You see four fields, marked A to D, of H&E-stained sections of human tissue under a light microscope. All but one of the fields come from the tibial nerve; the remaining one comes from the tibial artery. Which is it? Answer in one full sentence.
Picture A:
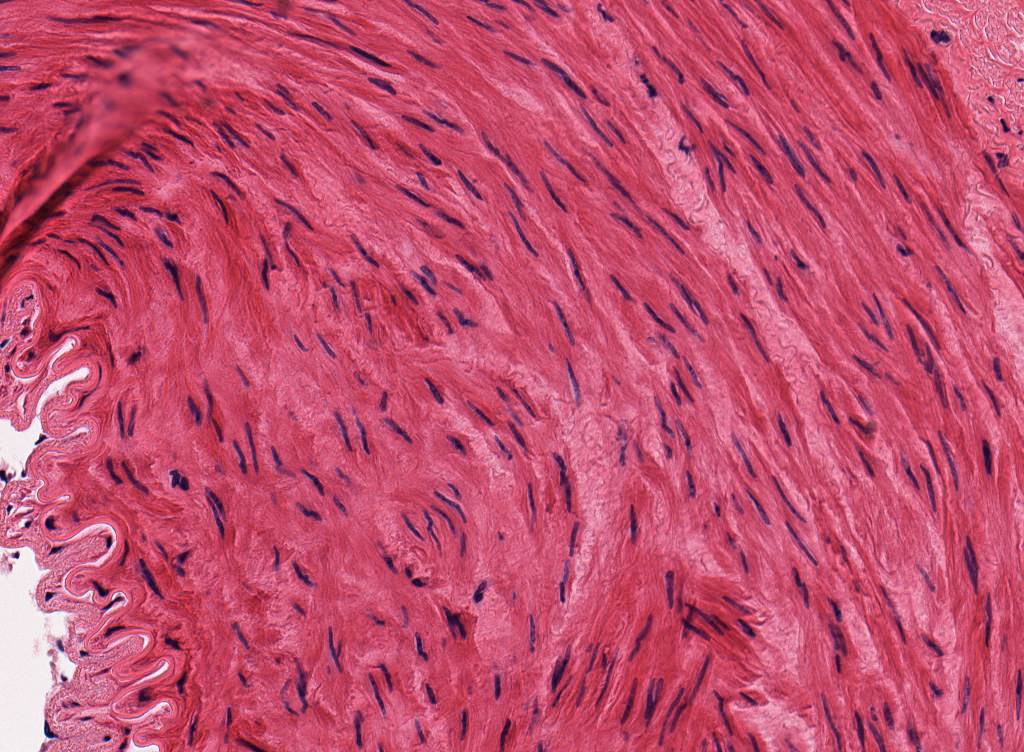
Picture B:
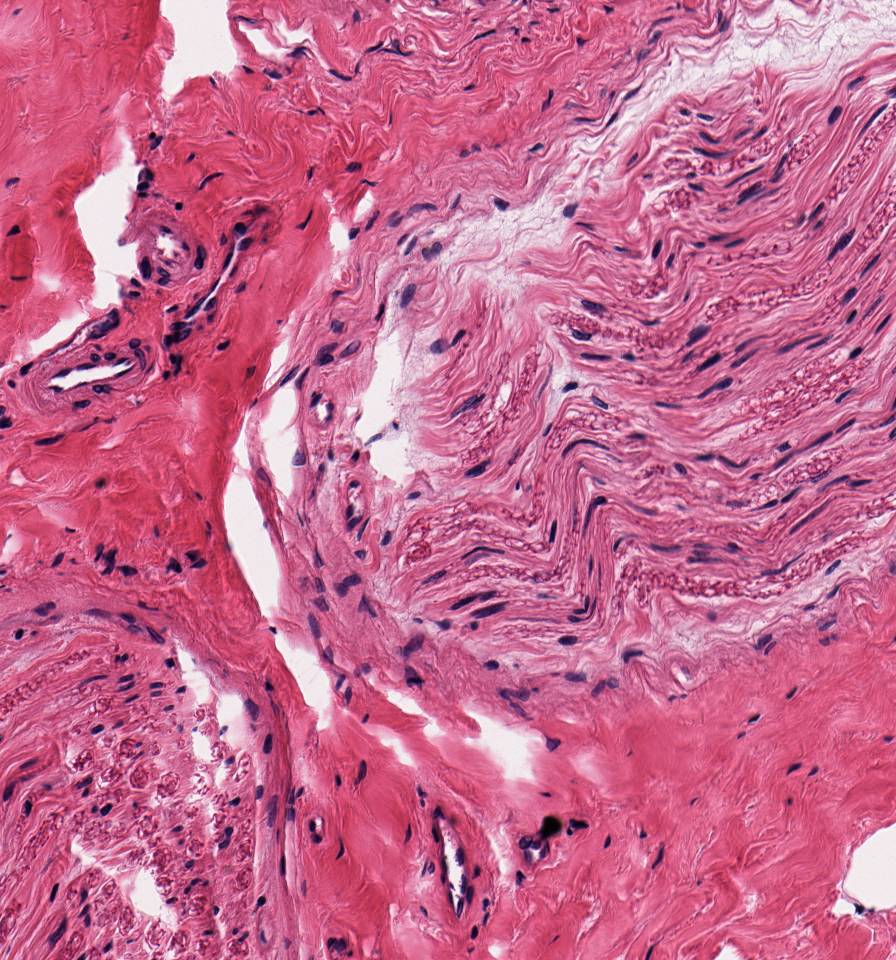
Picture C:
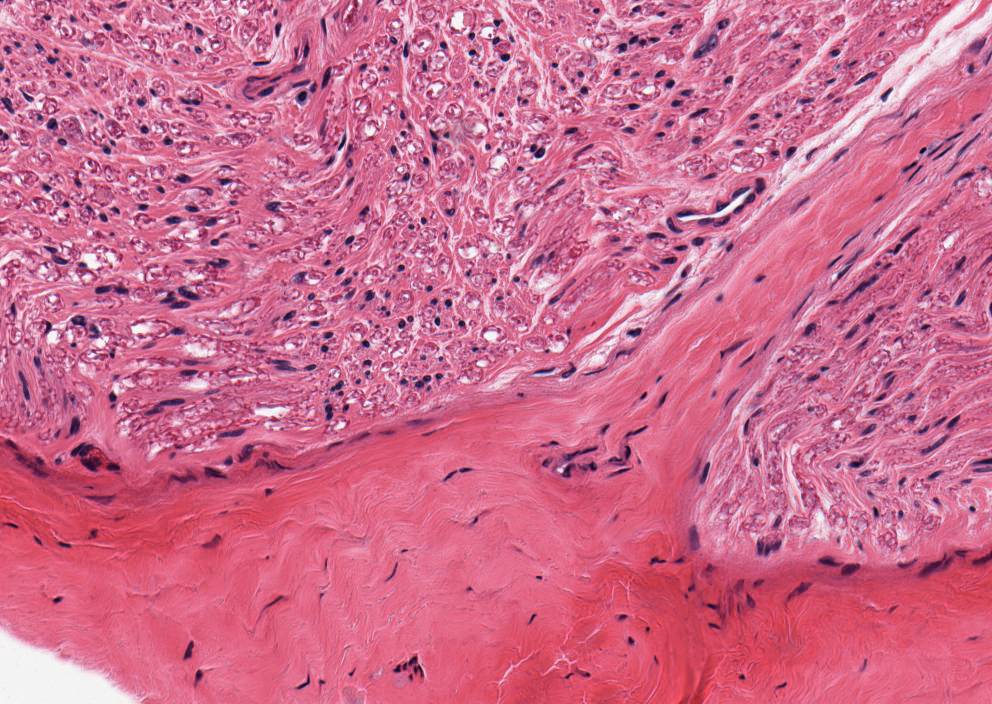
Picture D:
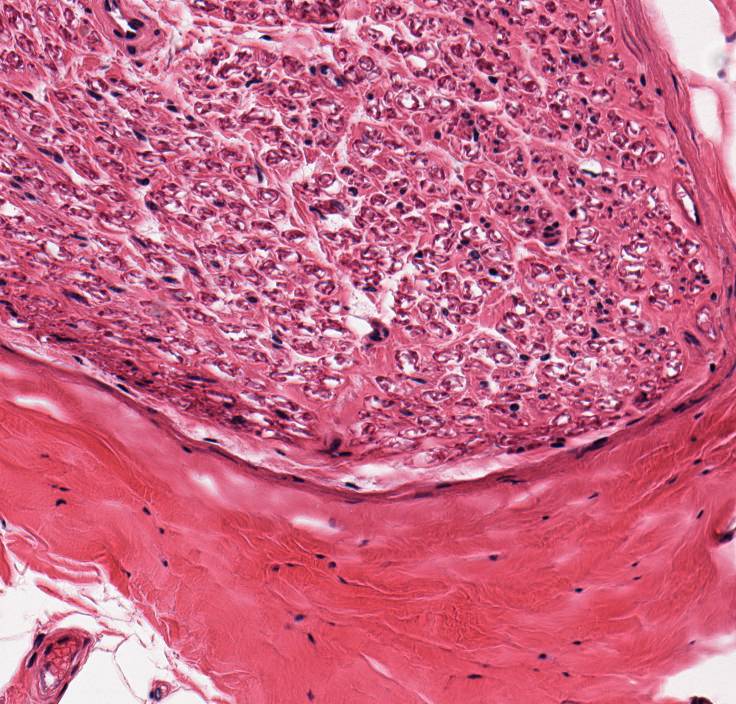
It is picture A that comes from the tibial artery.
